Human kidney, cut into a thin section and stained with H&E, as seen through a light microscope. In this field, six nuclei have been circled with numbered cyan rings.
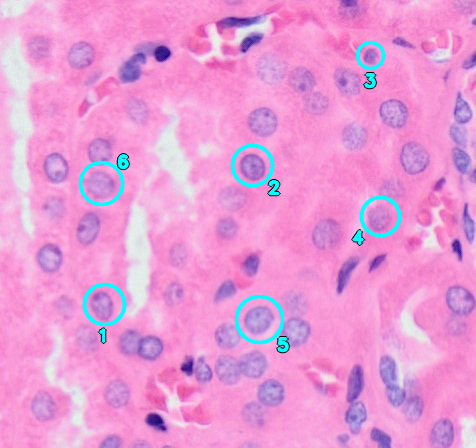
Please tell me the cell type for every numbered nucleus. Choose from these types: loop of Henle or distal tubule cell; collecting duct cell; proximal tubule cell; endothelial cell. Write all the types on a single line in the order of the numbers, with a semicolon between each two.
proximal tubule cell; proximal tubule cell; endothelial cell; proximal tubule cell; loop of Henle or distal tubule cell; proximal tubule cell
